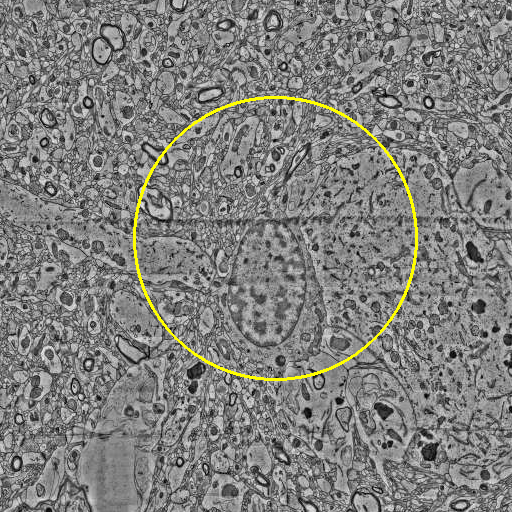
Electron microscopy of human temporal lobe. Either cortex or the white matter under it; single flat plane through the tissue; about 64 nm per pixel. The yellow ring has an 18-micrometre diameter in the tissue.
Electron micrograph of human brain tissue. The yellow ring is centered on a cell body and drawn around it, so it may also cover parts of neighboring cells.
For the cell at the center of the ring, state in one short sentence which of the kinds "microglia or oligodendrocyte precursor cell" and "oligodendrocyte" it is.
This ring is centered on an oligodendrocyte.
